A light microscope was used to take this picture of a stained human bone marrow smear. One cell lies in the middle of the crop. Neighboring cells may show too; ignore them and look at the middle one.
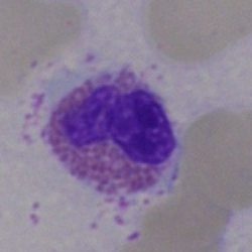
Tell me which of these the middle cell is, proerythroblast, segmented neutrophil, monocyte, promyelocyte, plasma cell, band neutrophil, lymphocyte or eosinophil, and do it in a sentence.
At the crop's centre, the cell is an eosinophil.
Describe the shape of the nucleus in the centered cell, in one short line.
The nucleus here is split into two or more lobes, not one.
